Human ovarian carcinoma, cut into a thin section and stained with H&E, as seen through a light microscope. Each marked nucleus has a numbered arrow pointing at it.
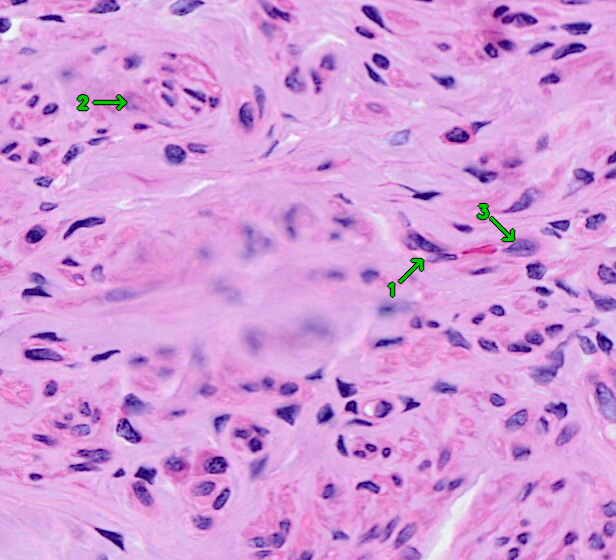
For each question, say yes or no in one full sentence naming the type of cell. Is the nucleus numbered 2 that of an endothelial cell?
No, the cell denoted 2 is a smooth muscle cell rather than an endothelial cell.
